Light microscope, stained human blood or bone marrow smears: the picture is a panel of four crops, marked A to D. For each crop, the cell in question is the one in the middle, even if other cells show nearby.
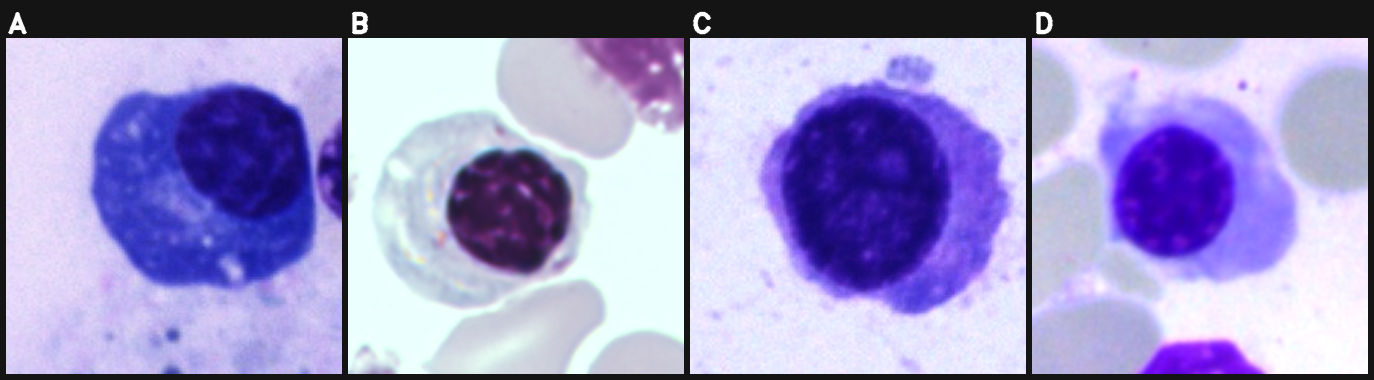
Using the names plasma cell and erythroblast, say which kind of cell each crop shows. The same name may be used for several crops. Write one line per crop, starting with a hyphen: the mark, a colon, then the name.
- A: plasma cell
- B: erythroblast
- C: plasma cell
- D: erythroblast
